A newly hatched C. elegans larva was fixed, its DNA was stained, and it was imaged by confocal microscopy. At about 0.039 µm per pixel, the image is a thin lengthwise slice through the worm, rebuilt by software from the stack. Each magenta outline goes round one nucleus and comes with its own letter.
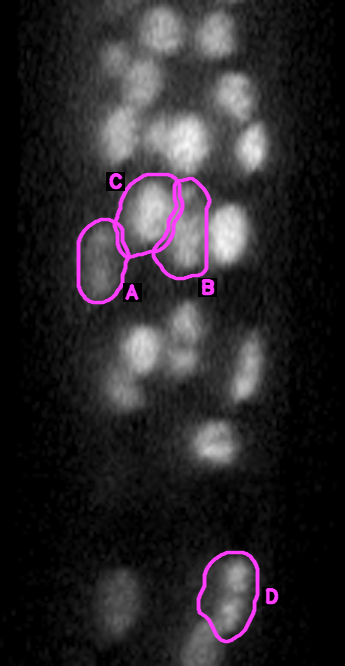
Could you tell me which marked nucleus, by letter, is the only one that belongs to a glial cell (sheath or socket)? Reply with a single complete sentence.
The one from a glial cell (sheath or socket) is A.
